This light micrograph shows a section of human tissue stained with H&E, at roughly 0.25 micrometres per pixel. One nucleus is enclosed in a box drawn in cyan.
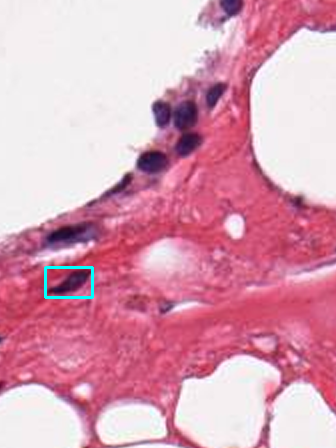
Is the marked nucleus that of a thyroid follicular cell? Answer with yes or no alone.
no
